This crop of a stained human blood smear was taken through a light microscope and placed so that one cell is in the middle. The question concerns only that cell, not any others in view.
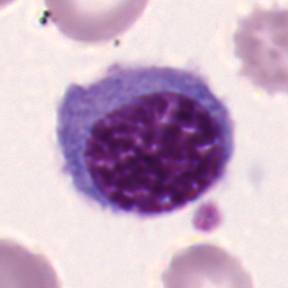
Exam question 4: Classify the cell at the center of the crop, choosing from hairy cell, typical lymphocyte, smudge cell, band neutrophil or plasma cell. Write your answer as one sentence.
This crop has a plasma cell at its centre.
